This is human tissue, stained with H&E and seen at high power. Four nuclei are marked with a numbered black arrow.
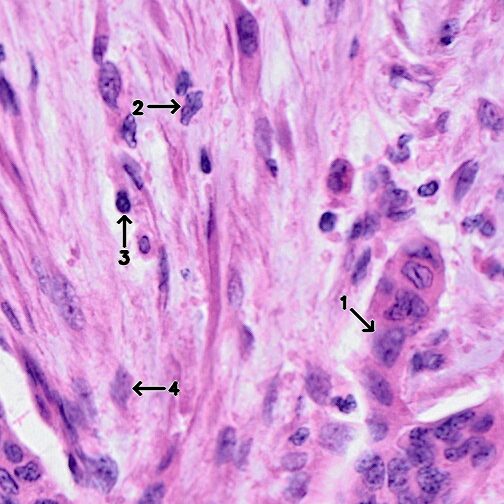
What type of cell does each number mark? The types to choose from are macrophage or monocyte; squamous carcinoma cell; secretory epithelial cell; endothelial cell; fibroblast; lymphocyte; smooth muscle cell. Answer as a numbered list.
1. squamous carcinoma cell
2. lymphocyte
3. lymphocyte
4. fibroblast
